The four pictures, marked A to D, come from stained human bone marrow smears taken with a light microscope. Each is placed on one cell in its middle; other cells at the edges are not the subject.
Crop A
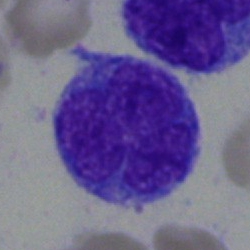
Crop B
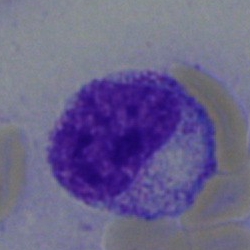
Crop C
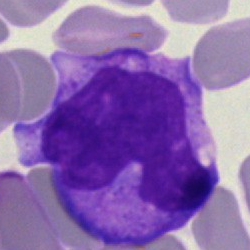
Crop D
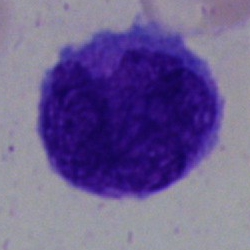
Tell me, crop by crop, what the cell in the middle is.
A: blast
B: metamyelocyte
C: monocyte
D: blast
